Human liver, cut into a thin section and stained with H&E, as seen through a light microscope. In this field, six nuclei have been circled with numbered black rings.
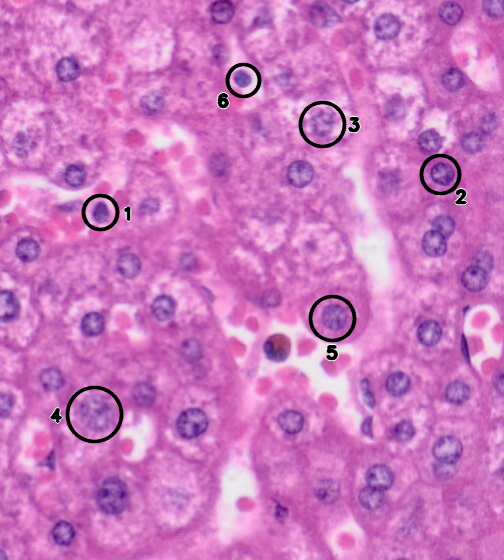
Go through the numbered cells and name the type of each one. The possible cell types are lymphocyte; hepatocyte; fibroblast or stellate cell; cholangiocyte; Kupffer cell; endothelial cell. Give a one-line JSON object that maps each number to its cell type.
{"1": "lymphocyte", "2": "hepatocyte", "3": "hepatocyte", "4": "hepatocyte", "5": "hepatocyte", "6": "lymphocyte"}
